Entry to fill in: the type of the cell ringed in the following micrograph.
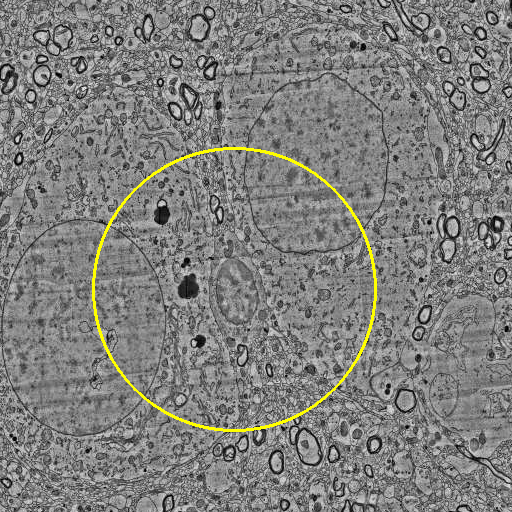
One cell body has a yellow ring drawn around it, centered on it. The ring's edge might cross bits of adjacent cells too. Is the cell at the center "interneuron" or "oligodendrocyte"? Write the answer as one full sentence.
This entry names an oligodendrocyte as the cell whose body lies at the ring's center.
